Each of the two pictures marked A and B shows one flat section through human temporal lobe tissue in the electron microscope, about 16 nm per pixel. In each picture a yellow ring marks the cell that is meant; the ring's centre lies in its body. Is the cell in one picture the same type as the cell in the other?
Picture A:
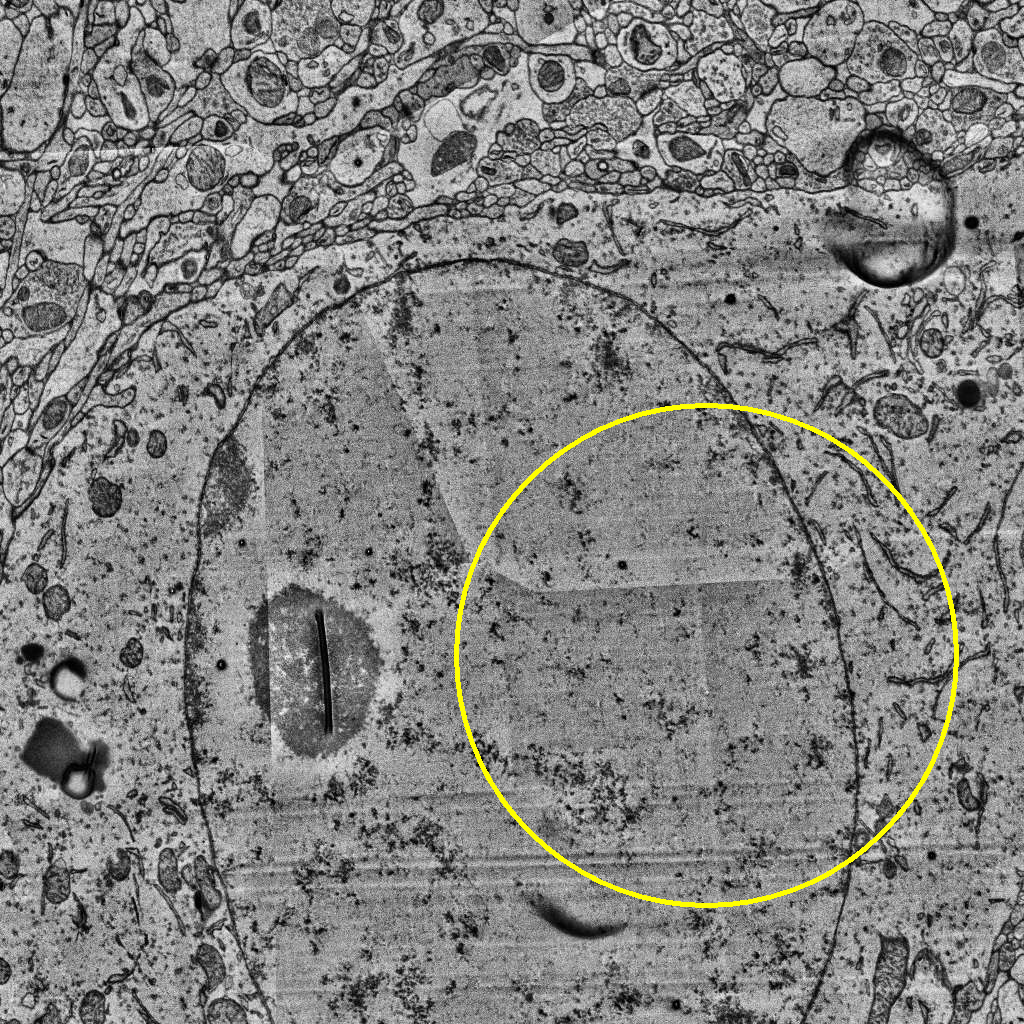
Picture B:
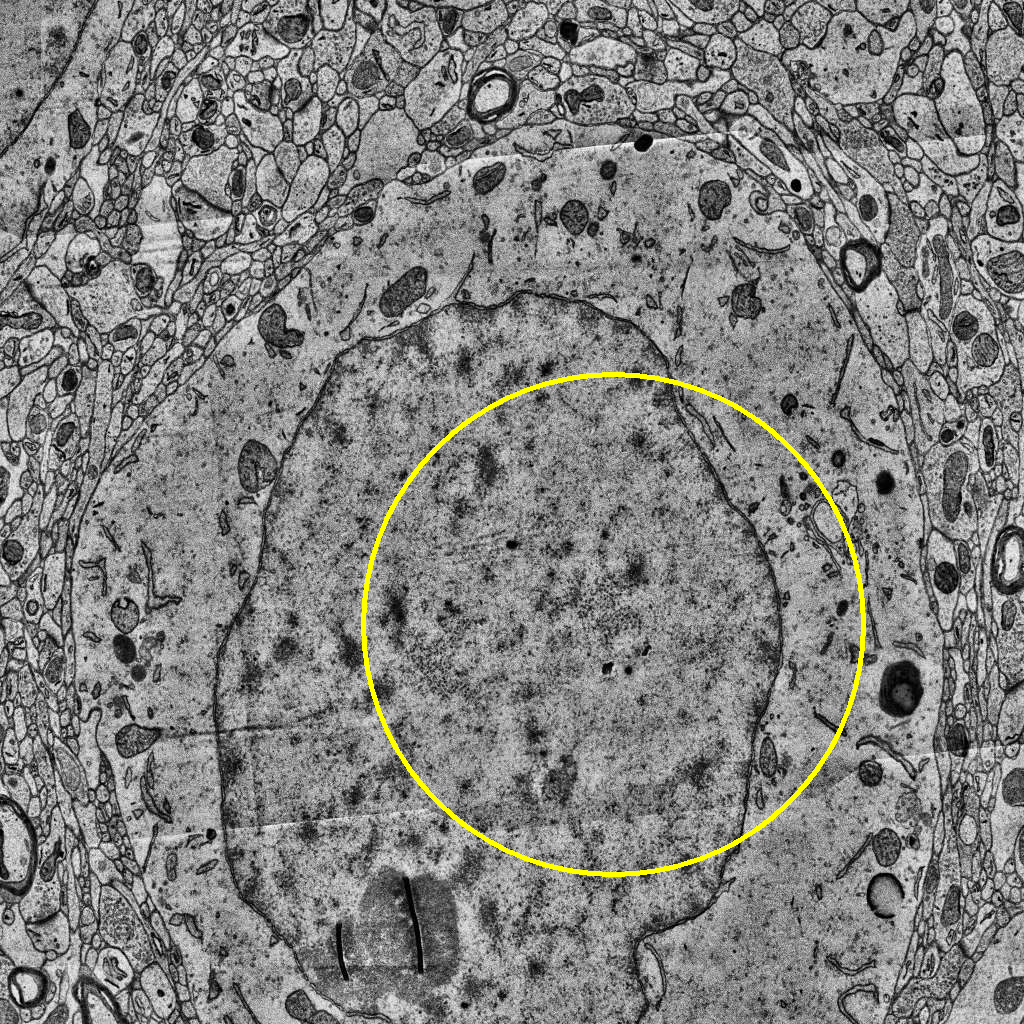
Yes; the cells in both pictures are pyramidal neurons.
